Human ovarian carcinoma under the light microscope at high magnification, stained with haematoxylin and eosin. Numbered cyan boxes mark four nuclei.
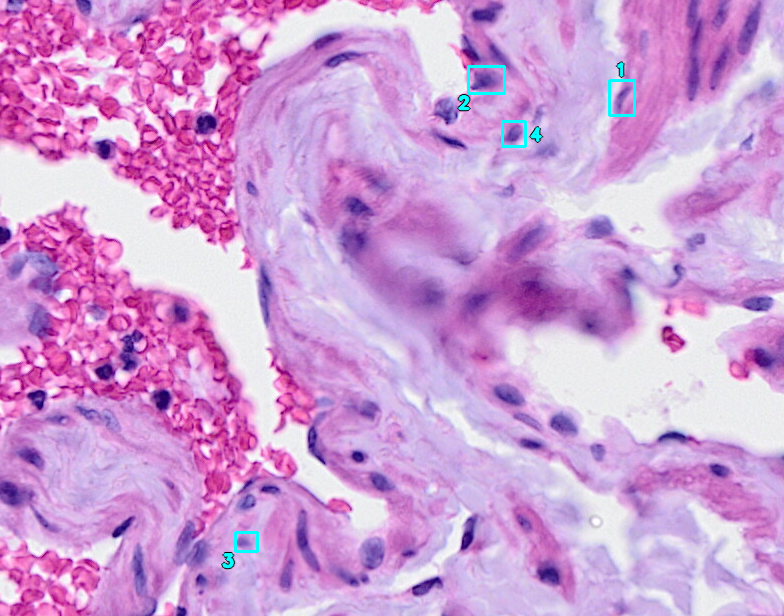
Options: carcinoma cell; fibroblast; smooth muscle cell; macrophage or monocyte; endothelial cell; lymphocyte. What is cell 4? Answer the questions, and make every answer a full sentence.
The cell that is numbered 4 is a smooth muscle cell.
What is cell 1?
The numbered cell 1 is identified here as a smooth muscle cell.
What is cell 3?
The cell indicated with the number 3 is classed as a smooth muscle cell.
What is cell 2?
The cell marked with number 2 is an endothelial cell.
